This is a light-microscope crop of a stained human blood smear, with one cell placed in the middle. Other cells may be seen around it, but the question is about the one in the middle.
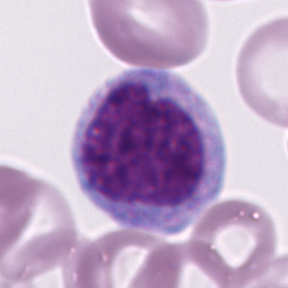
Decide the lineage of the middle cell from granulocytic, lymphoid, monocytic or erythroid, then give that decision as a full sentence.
The middle cell of the crop belongs with the cells of the monocytic lineage.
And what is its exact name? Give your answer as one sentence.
At the center of the crop sits a monocyte.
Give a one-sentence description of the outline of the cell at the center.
A smooth, projection-free outline is what this cell has.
